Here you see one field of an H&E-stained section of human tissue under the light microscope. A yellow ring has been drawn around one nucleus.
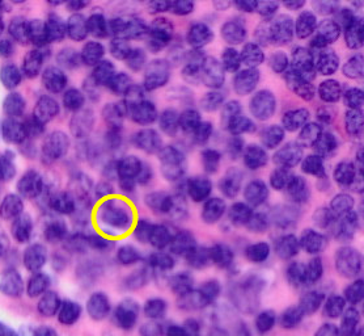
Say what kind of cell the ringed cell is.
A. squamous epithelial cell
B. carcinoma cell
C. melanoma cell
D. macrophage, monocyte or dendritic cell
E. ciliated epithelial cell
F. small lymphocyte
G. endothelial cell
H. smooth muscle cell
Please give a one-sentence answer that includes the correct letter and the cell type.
Option F is the right choice, for the ringed cell is a small lymphocyte.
